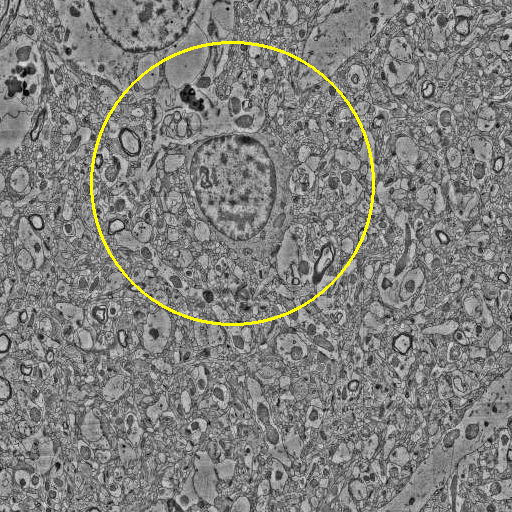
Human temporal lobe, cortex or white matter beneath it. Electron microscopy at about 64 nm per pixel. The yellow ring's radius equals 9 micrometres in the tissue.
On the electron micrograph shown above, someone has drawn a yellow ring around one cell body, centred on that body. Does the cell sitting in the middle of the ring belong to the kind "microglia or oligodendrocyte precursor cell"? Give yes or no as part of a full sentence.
No, the cell located in the middle of the ring in the micrograph is of a different kind.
